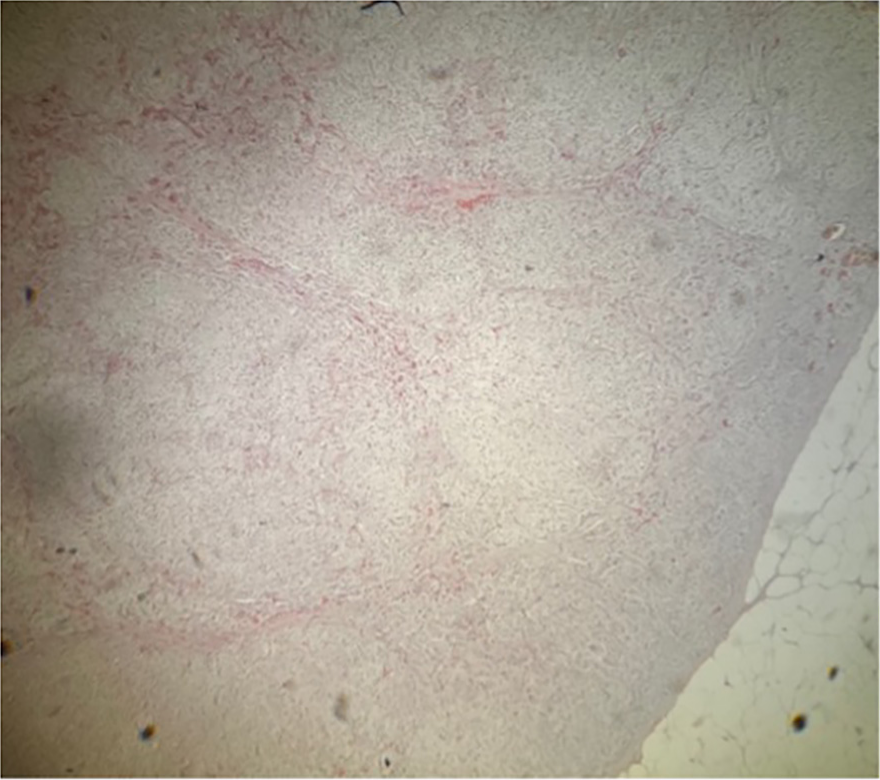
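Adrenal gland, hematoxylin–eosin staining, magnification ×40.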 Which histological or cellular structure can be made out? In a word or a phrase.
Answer: Nodule.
